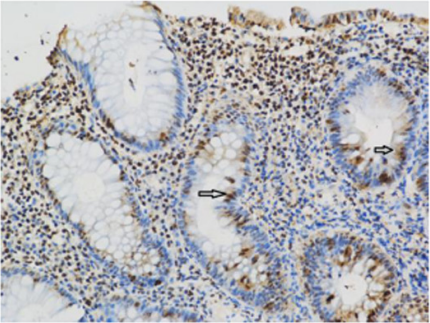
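This is colonic mucosa with crypts cut in cross-section, surrounded by a densely cellular lamina propria. The crypts are lined by columnar epithelium crowded with pale, rounded goblet cells whose mucin stays unstained. Brown stain lies in some of the lining epithelial cells, patchily along the crypt circumference. The lamina propria between the crypts is packed with small round cells, many with dark brown nuclei, far more than in quiet mucosa. The surface epithelium at the top edge is partly brown as well.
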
